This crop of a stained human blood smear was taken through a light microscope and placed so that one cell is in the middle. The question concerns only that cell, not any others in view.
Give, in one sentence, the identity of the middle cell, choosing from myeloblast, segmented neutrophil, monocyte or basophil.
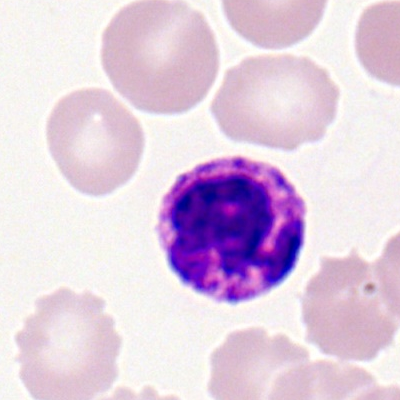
The middle of this crop holds a basophil.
